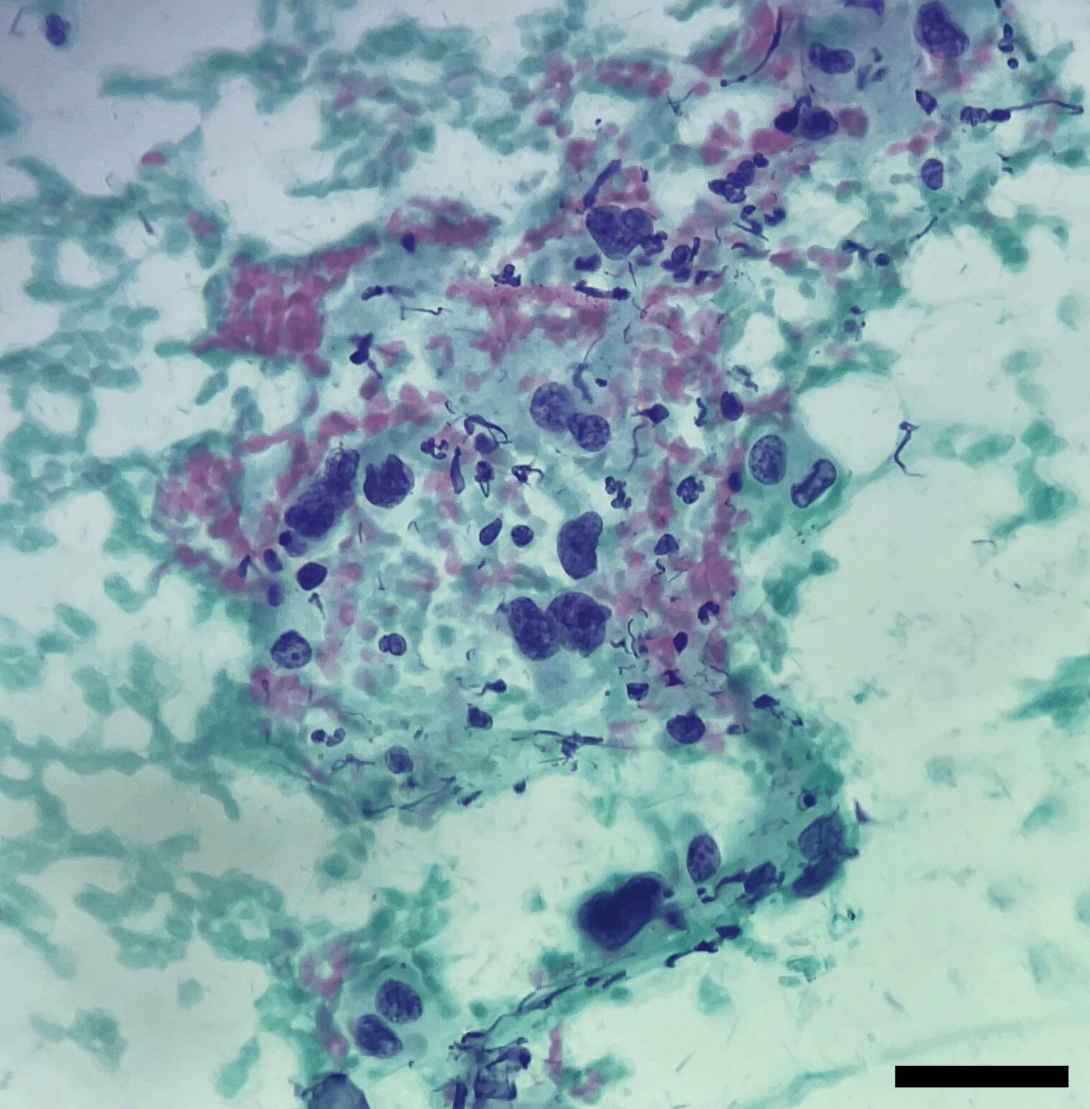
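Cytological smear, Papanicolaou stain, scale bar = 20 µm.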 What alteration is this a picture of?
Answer: highly pleomorphic tumor cells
